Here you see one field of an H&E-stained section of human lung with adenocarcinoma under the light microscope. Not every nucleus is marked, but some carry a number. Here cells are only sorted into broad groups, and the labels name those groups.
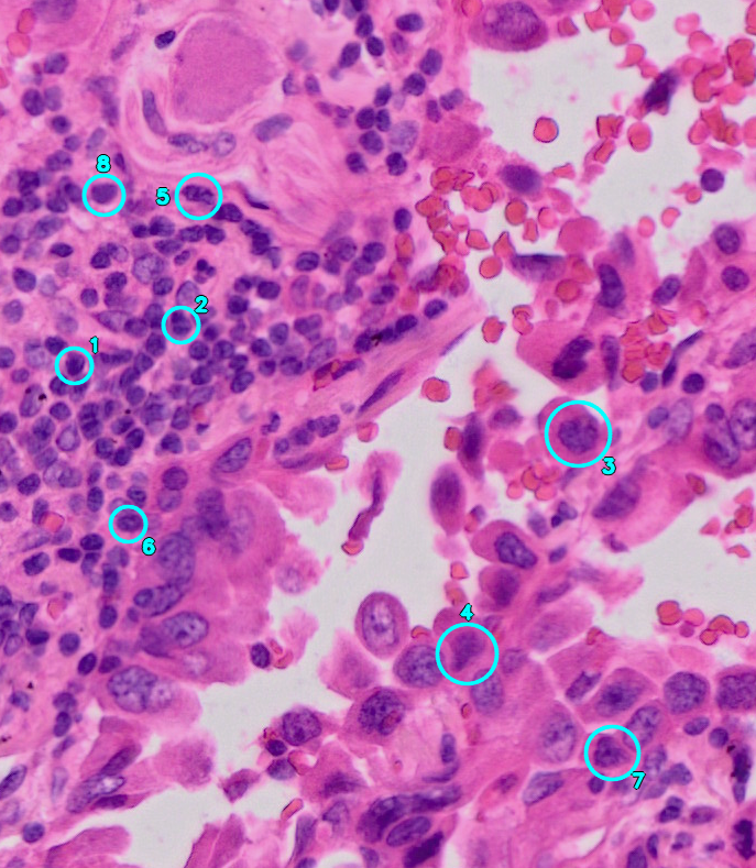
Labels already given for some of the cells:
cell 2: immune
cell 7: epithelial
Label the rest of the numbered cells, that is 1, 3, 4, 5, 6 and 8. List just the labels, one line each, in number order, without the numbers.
immune
epithelial
epithelial
immune
immune
immune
